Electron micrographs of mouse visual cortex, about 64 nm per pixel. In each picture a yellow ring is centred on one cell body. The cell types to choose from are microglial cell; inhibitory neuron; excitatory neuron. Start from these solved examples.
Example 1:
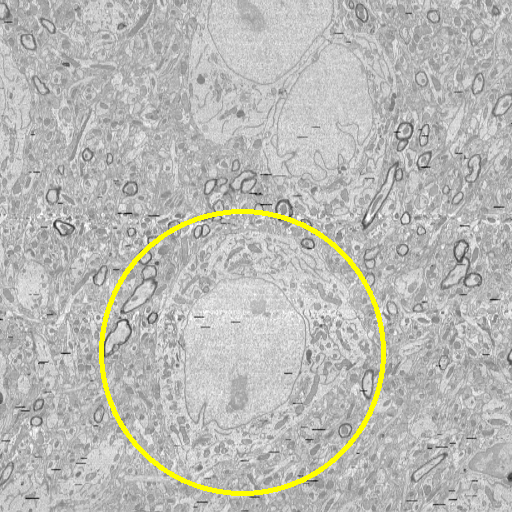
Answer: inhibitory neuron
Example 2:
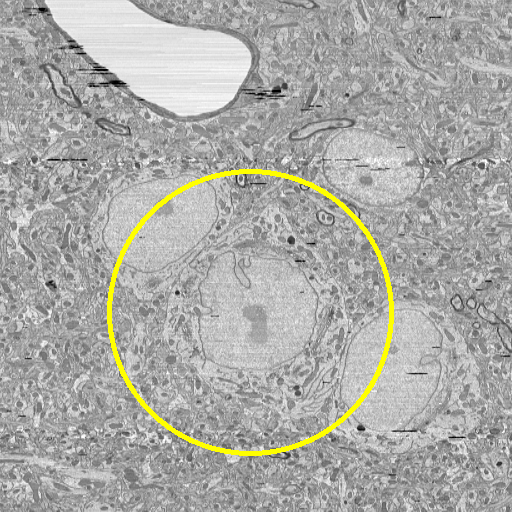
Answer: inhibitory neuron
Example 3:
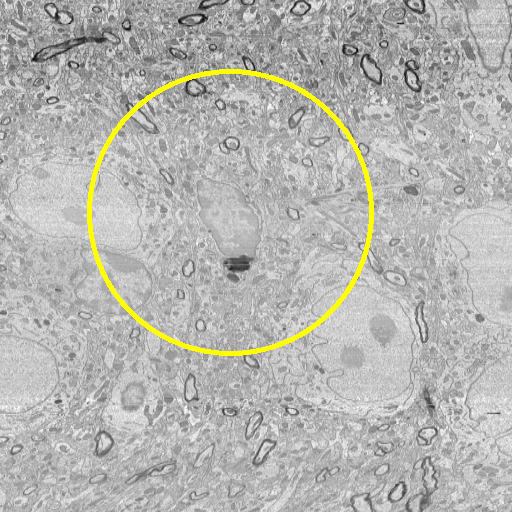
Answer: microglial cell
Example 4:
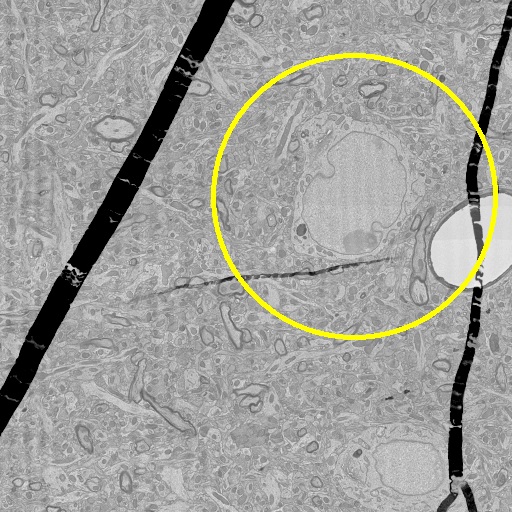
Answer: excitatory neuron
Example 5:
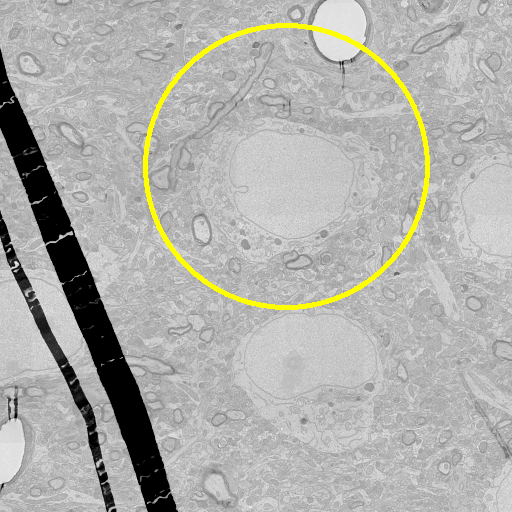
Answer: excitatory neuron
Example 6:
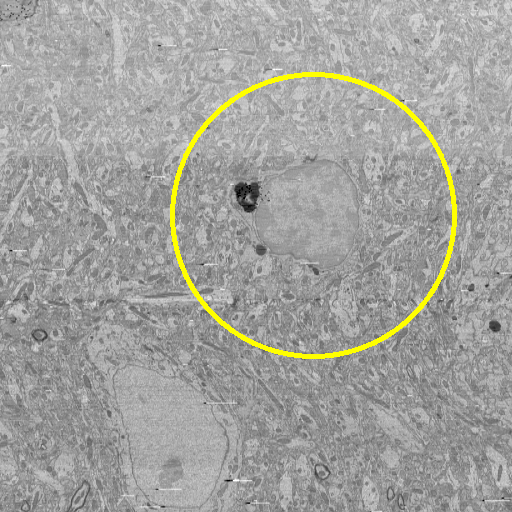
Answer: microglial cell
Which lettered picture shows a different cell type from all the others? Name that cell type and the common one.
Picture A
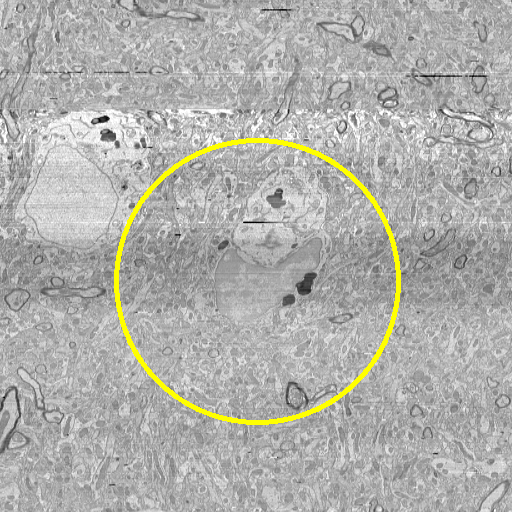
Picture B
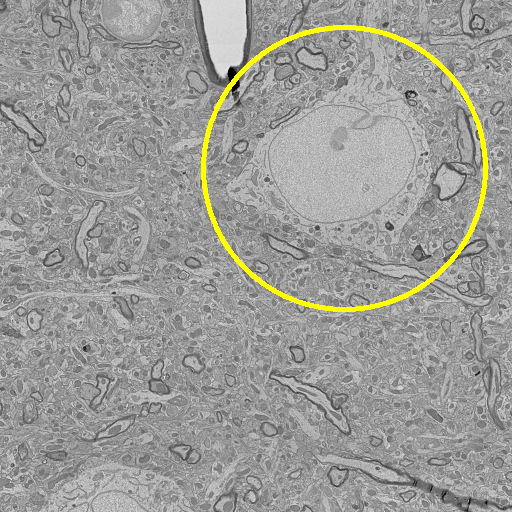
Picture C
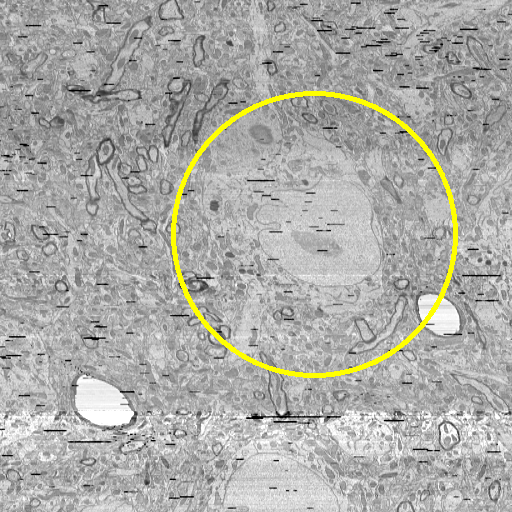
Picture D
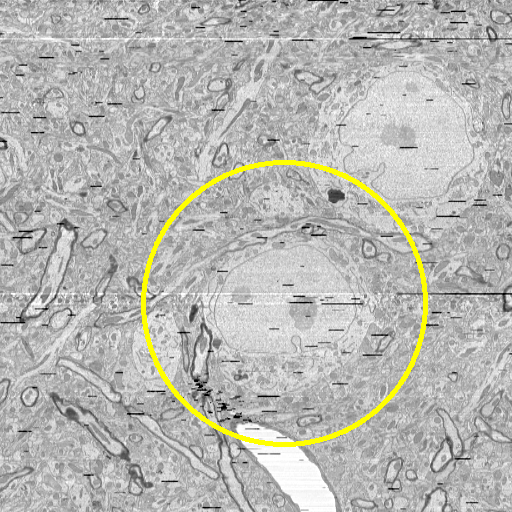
Odd one out: A (microglial cell). The rest: excitatory neuron.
